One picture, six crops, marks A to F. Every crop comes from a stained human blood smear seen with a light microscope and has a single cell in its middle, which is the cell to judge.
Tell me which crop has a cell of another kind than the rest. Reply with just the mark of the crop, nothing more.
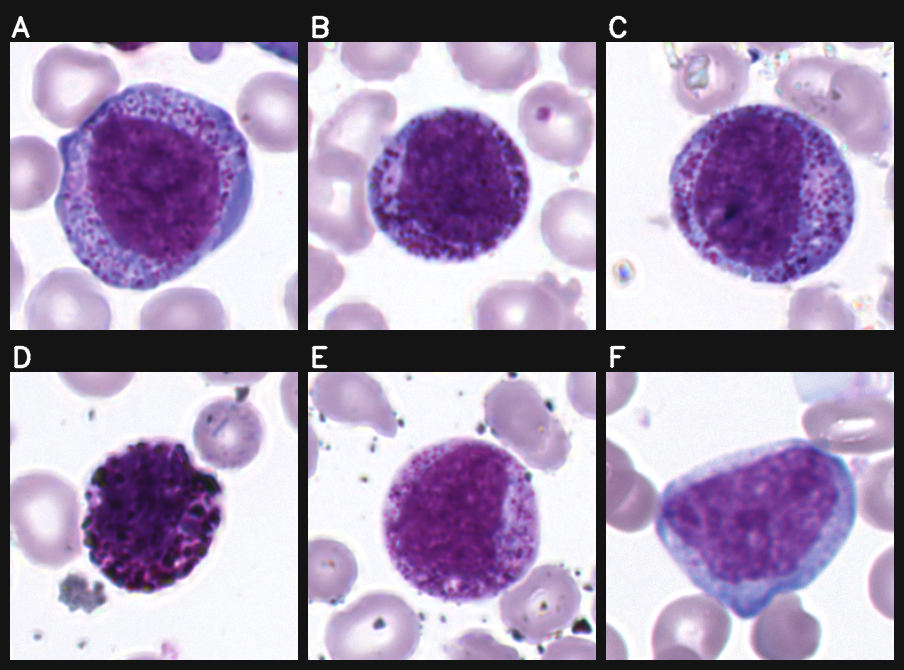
D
